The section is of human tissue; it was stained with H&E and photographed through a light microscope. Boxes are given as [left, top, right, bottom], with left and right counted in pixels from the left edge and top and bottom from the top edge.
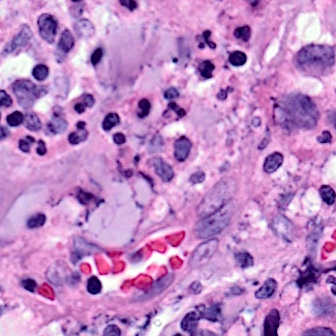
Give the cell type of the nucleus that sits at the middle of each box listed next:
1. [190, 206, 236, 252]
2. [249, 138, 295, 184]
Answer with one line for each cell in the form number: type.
1: endothelial cell
2: lymphocyte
